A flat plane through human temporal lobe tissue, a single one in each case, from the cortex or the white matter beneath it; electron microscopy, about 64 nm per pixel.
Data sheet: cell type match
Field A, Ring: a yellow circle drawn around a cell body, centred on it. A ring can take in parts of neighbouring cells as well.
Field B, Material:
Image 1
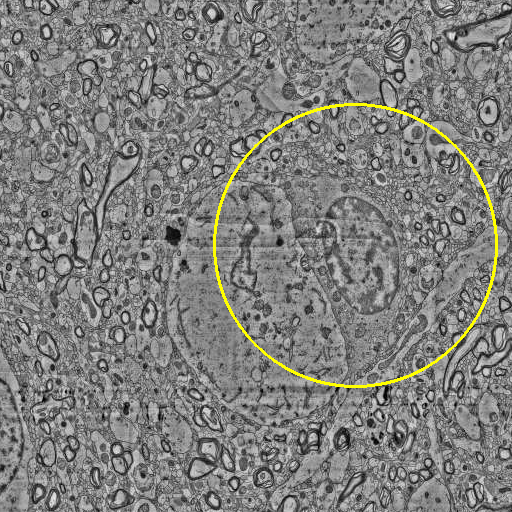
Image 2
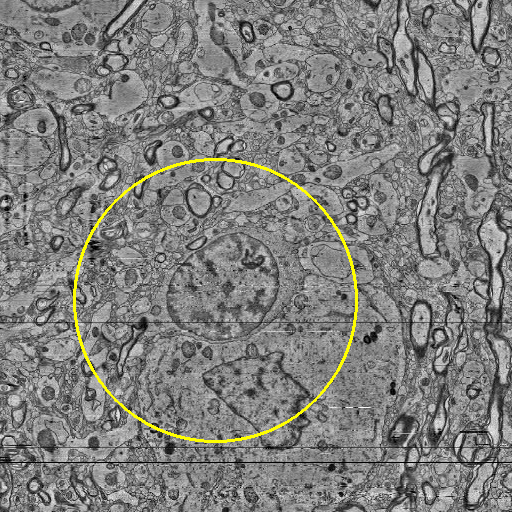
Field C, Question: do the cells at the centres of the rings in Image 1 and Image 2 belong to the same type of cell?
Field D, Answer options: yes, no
yes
